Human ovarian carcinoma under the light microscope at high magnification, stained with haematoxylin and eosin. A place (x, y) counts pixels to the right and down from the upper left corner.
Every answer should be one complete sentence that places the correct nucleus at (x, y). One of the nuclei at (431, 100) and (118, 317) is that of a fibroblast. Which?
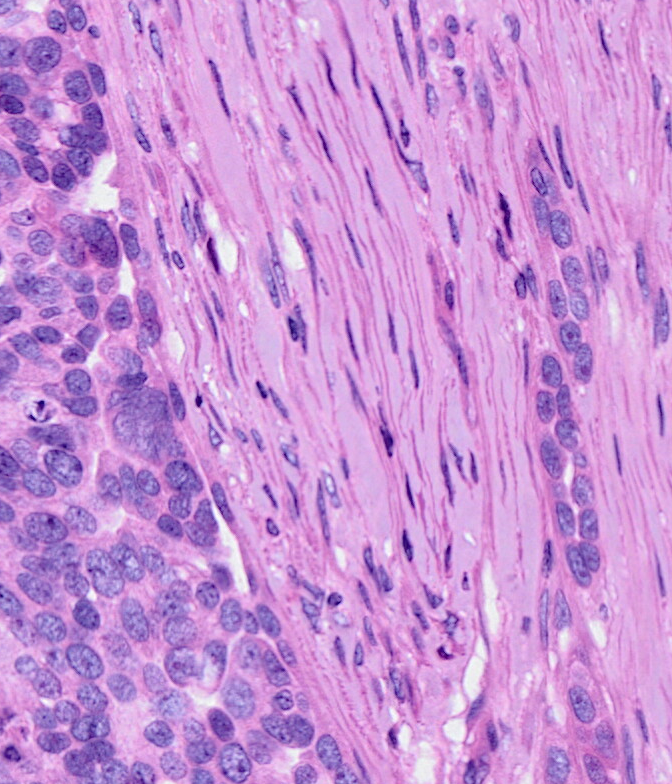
The nucleus that sits at (431, 100) is the nucleus of a fibroblast.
